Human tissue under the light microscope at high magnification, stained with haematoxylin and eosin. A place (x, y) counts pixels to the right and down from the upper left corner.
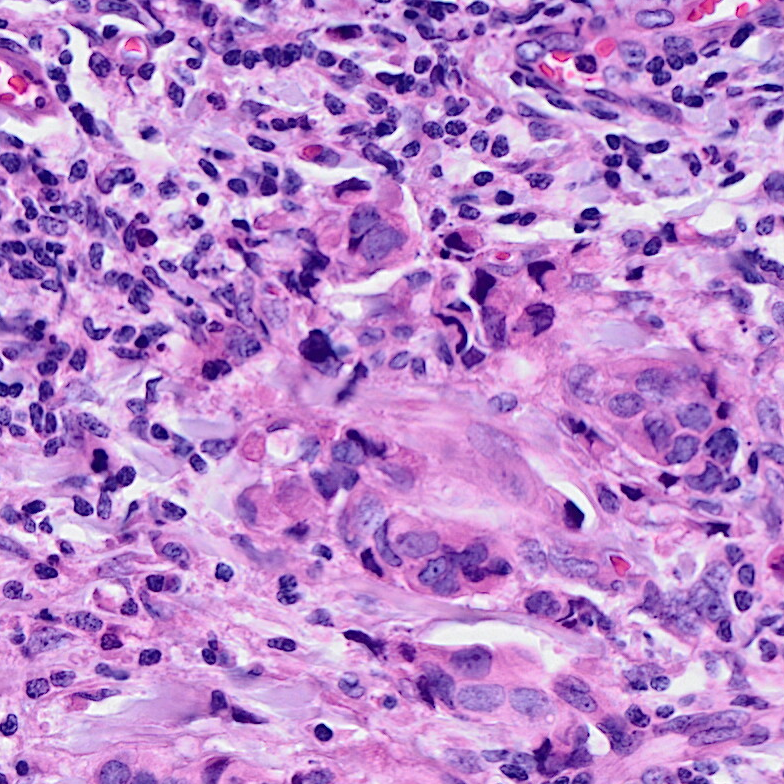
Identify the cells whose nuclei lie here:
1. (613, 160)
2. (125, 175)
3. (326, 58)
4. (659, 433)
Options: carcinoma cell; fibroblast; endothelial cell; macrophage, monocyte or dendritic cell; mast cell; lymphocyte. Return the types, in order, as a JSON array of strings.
["lymphocyte", "lymphocyte", "lymphocyte", "carcinoma cell"]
